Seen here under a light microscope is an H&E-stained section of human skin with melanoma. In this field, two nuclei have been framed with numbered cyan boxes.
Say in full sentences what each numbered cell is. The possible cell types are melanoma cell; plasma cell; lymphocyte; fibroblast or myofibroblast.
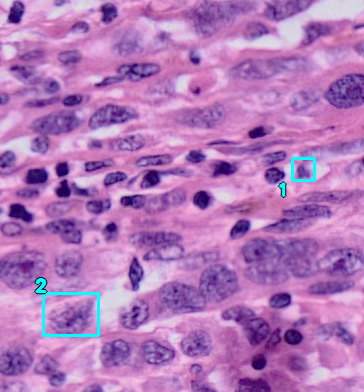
Cell 1 is a lymphocyte and cell 2 is a melanoma cell.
